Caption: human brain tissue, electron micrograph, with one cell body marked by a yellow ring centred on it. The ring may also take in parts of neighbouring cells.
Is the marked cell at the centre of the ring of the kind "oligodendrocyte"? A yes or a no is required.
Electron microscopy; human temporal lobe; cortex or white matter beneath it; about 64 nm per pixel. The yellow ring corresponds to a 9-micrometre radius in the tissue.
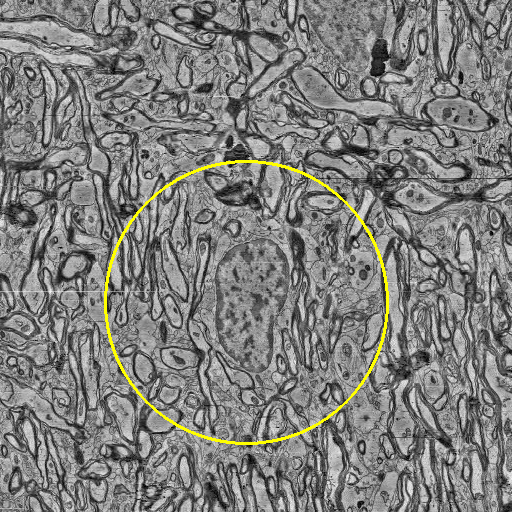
no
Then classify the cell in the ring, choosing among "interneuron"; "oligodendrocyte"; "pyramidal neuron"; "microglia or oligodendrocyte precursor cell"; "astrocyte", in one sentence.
The answer is that the ringed cell is a microglial cell or oligodendrocyte precursor cell.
